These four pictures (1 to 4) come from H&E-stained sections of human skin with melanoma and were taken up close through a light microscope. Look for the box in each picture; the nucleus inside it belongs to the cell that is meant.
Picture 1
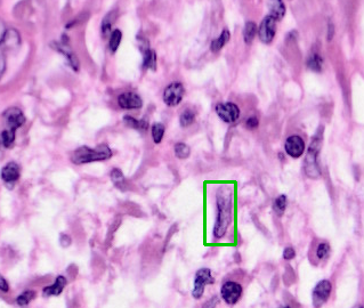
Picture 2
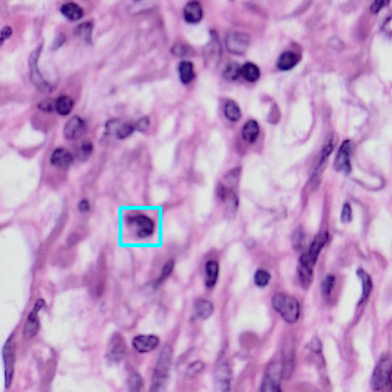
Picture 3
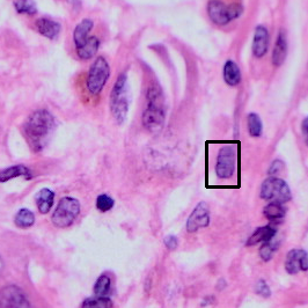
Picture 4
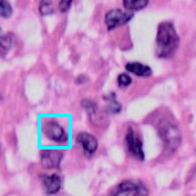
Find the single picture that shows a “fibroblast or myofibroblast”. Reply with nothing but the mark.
1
